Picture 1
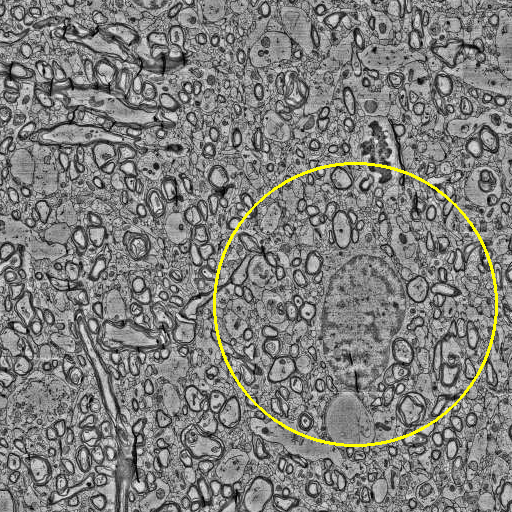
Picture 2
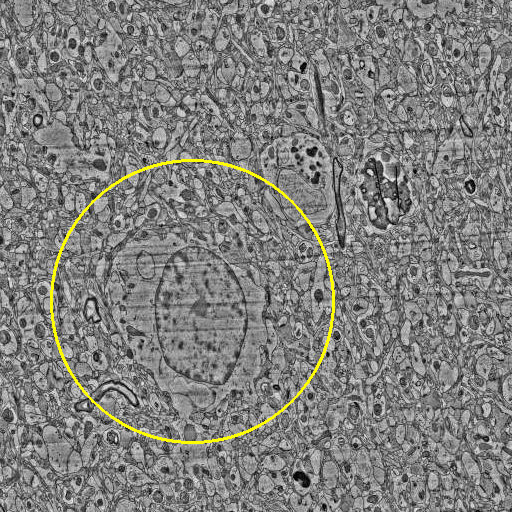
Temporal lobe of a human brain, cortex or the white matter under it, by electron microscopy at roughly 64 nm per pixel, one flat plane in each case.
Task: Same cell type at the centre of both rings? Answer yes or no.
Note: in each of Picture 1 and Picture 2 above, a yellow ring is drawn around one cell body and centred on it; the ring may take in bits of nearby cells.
no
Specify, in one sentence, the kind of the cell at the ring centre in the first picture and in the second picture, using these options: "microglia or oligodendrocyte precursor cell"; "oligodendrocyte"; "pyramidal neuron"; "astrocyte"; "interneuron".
So the first is an oligodendrocyte, the second an astrocyte.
